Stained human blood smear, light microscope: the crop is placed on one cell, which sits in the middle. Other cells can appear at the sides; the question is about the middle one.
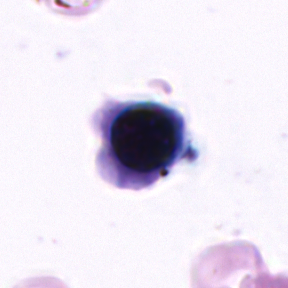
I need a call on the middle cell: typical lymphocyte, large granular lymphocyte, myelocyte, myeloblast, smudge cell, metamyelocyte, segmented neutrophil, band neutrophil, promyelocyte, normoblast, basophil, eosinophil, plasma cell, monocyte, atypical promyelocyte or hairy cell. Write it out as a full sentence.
This particular crop is centered on a normoblast.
